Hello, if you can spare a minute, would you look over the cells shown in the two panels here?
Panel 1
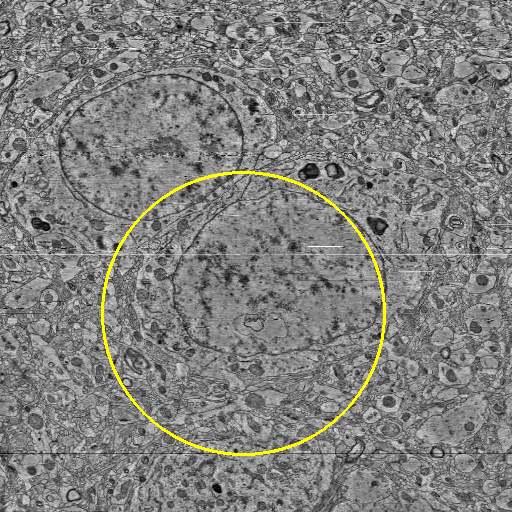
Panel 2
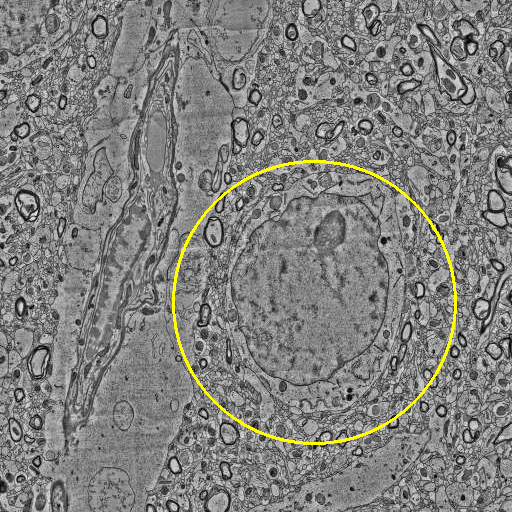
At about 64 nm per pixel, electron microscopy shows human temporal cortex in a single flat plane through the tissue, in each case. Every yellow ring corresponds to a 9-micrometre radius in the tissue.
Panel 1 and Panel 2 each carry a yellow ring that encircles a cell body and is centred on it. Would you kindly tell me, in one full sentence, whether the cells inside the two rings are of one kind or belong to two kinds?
The cells at the centres of the rings in Panel 1 and Panel 2 are of one kind.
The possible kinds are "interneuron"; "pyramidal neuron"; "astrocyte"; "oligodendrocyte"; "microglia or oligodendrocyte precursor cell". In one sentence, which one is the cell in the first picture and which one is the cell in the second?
The ring centre holds a pyramidal neuron in each of the two pictures.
